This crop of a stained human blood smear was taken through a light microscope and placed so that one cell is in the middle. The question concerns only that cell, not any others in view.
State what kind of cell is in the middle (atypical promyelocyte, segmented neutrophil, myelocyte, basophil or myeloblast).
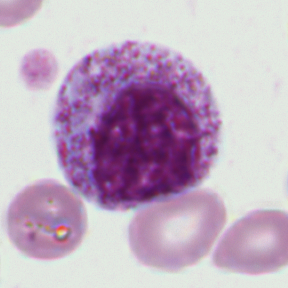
myelocyte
